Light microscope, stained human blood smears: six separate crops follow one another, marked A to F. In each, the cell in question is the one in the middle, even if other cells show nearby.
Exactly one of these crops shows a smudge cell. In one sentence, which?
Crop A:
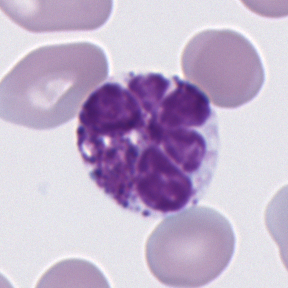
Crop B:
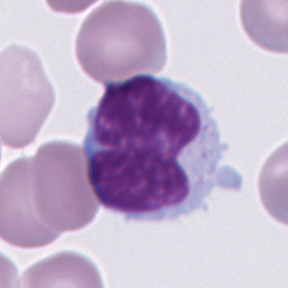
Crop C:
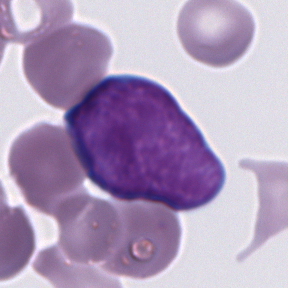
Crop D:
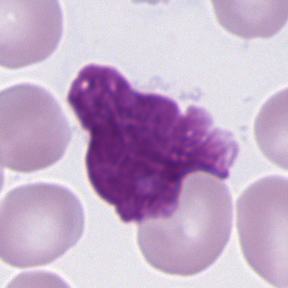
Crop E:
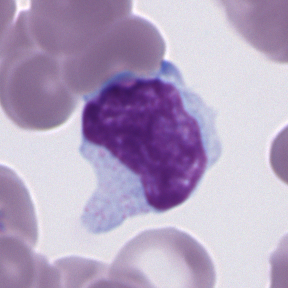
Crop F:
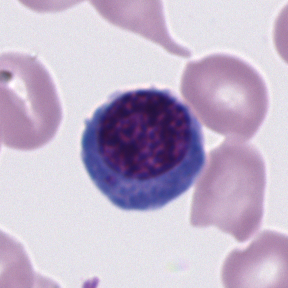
It is crop D that shows a smudge cell.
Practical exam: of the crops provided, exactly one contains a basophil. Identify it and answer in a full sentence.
It is the cell in crop A that is a basophil.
